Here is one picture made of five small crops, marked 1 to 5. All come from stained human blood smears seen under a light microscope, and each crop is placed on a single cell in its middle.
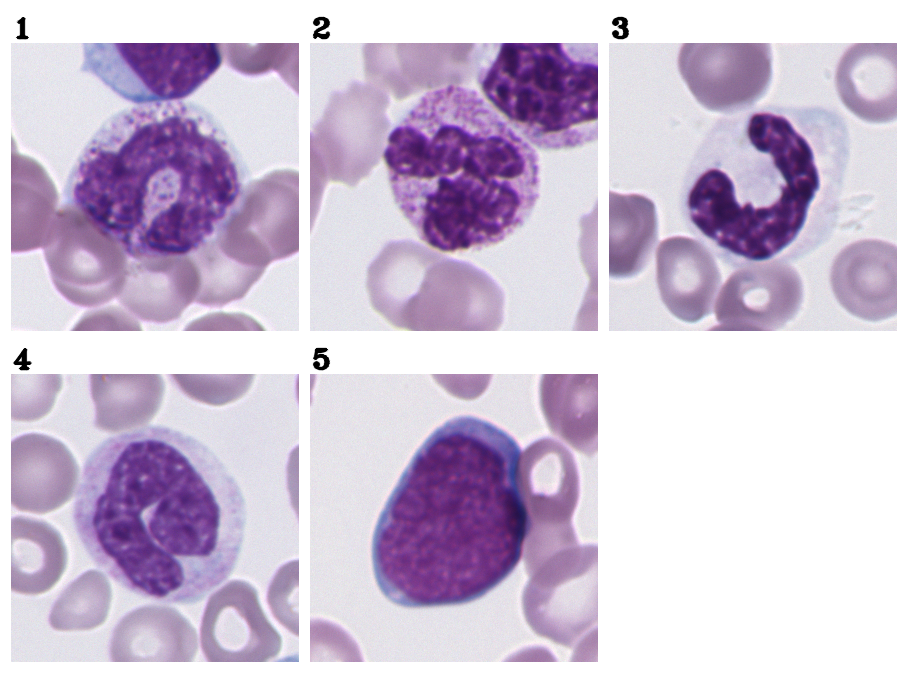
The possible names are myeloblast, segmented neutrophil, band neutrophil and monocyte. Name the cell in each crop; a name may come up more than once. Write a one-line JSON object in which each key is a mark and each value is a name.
{"1": "segmented neutrophil", "2": "segmented neutrophil", "3": "band neutrophil", "4": "band neutrophil", "5": "myeloblast"}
